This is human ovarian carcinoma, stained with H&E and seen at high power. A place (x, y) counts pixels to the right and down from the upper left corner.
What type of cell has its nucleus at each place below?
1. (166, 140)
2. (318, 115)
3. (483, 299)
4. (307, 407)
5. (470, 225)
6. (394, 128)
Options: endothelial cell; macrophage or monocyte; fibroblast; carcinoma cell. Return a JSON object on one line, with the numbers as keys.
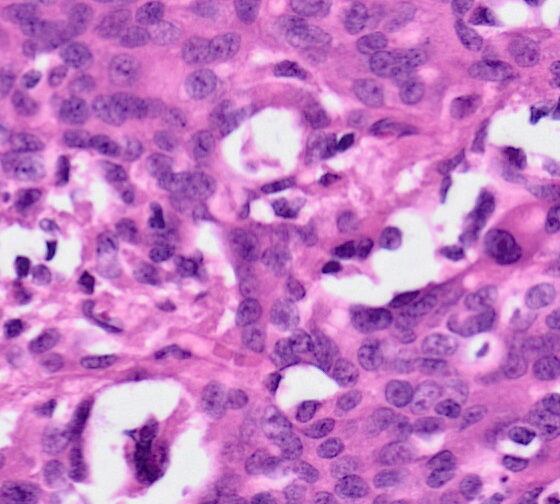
{"1": "carcinoma cell", "2": "carcinoma cell", "3": "carcinoma cell", "4": "macrophage or monocyte", "5": "carcinoma cell", "6": "endothelial cell"}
